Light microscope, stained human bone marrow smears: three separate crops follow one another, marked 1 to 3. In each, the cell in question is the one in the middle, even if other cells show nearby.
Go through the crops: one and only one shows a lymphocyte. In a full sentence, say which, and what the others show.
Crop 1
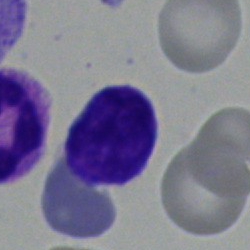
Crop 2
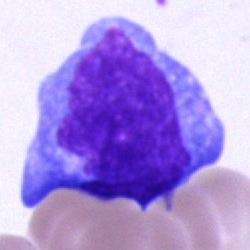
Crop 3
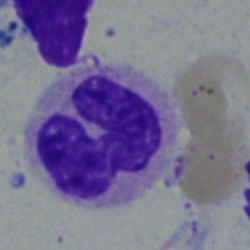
Seen in crop 1 is a lymphocyte, while crop 2 is a blast and crop 3 is a band neutrophil.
